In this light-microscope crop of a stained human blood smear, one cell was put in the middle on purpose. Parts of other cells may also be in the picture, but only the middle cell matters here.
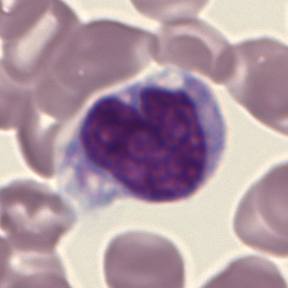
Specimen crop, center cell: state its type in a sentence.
The identification for the central cell is a monocyte.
